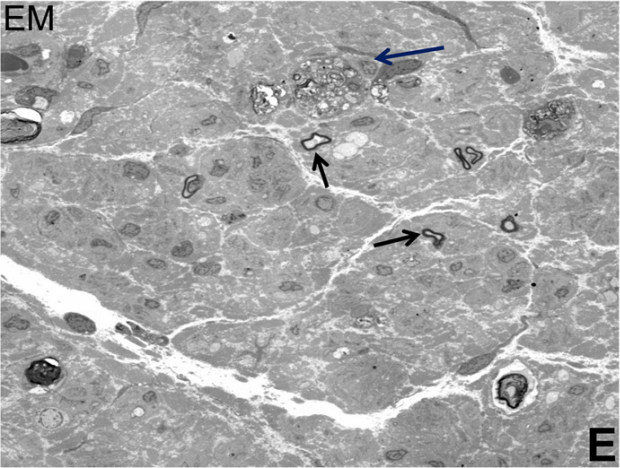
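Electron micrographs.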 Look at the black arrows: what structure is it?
Residual myelinated axons.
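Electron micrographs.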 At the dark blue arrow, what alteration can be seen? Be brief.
Wallerian degeneration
